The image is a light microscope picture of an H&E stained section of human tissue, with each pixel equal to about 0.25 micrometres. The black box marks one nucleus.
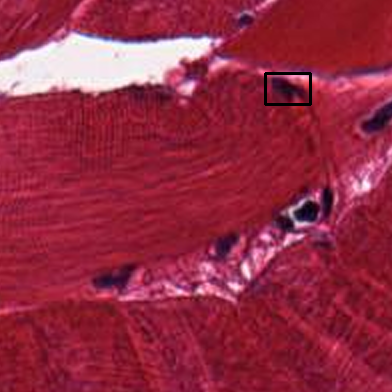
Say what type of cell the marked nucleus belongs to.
skeletal muscle fibre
